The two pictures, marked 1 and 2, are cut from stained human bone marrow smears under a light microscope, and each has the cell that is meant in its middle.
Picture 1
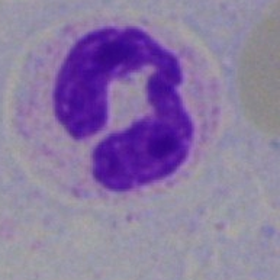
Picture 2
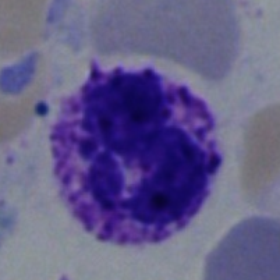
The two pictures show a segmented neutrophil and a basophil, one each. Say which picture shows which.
1: segmented neutrophil
2: basophil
